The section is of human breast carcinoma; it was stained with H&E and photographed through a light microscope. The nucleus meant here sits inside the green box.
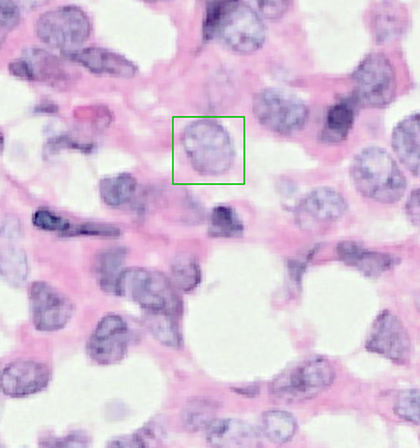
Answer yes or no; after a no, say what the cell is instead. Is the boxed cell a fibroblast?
No, it is a carcinoma cell.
